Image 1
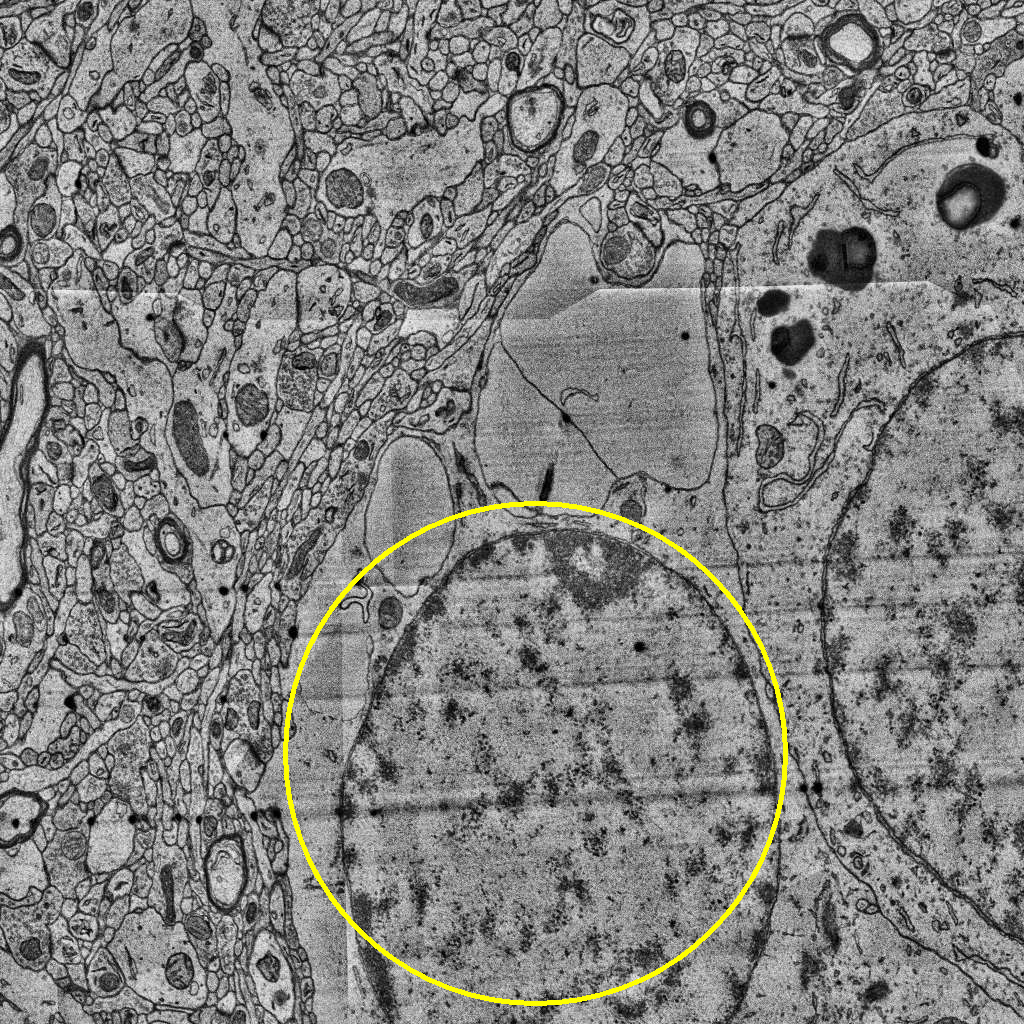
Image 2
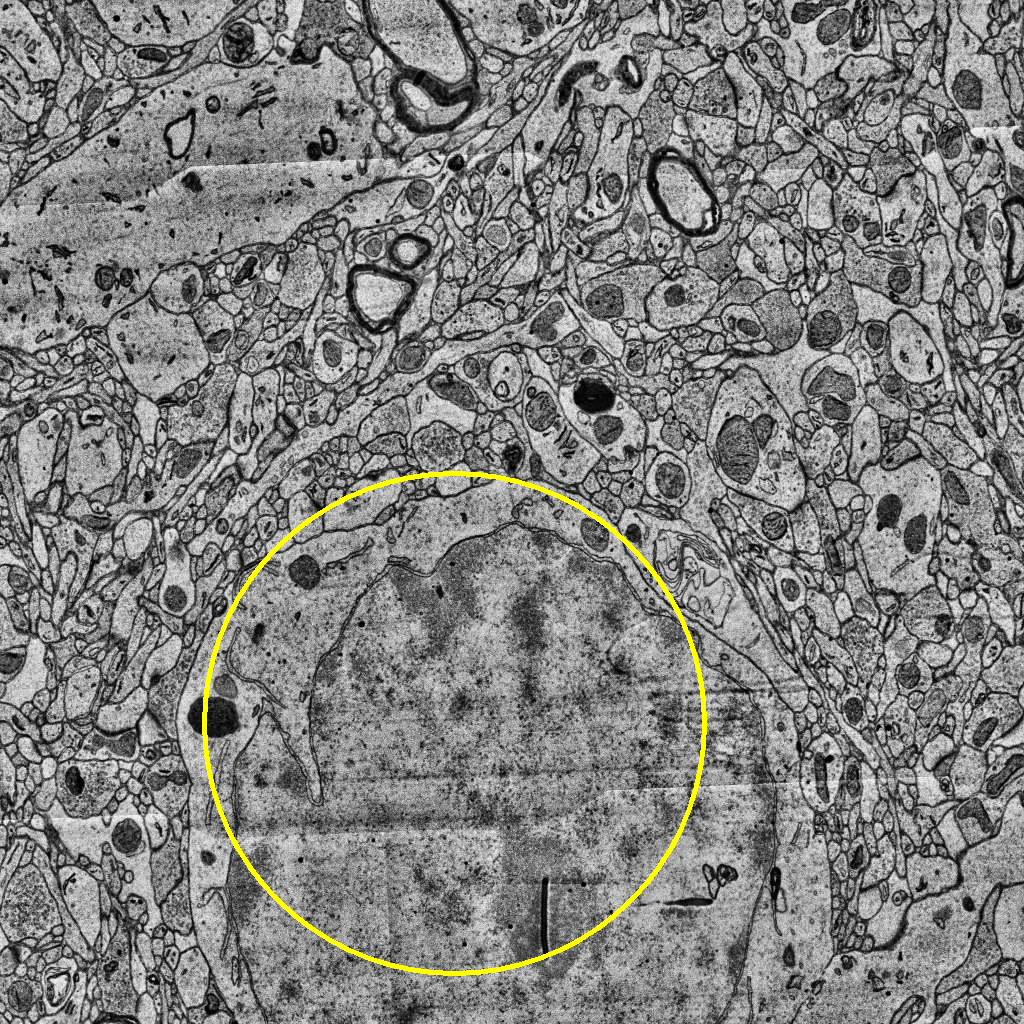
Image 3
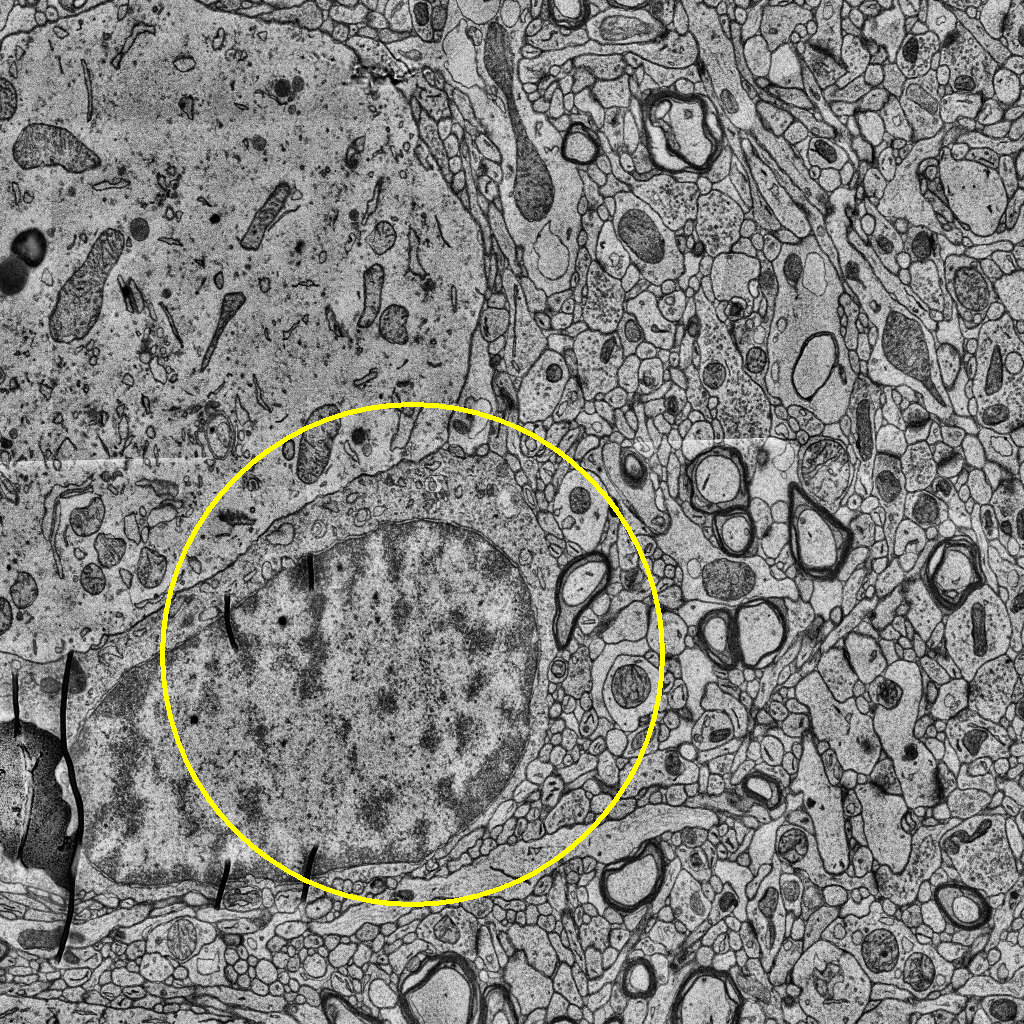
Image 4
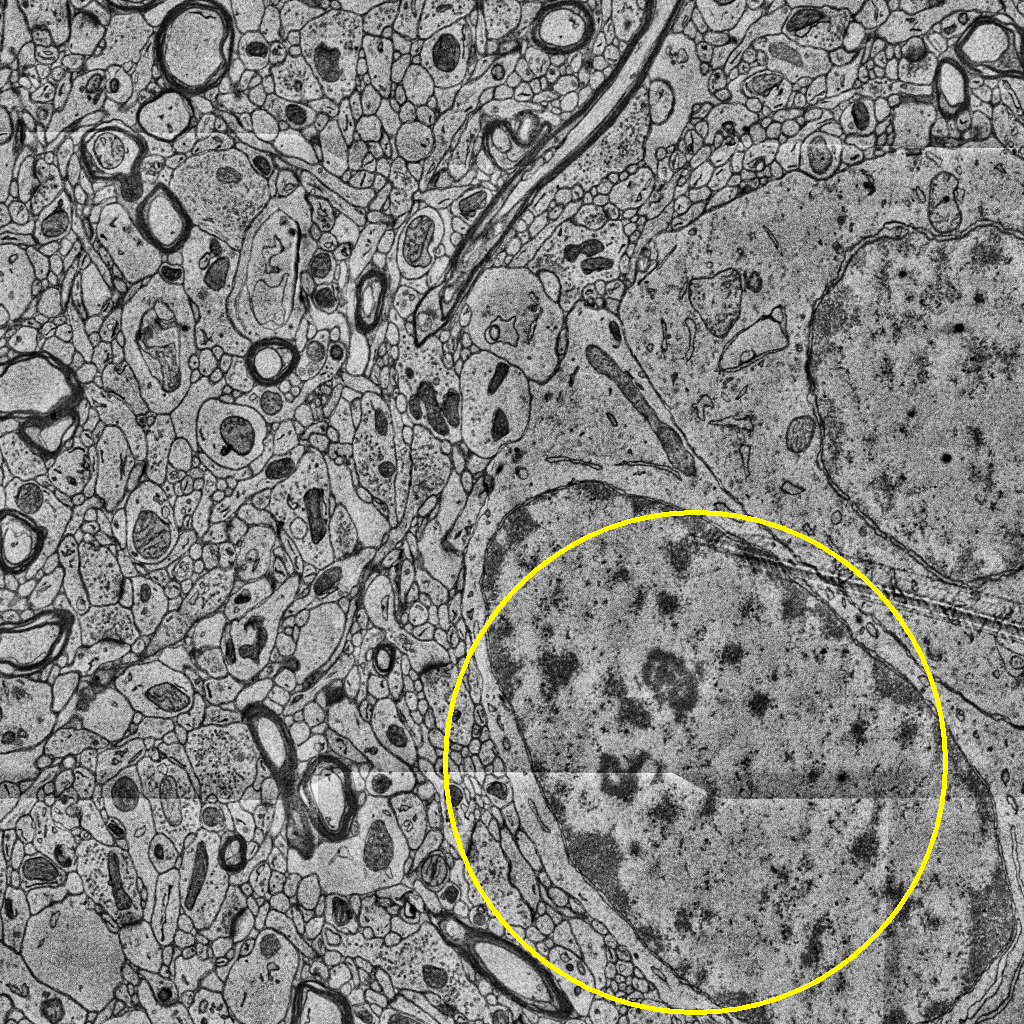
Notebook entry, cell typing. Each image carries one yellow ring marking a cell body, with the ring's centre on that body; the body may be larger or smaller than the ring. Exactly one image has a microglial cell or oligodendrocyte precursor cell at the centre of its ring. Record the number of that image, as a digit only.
4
